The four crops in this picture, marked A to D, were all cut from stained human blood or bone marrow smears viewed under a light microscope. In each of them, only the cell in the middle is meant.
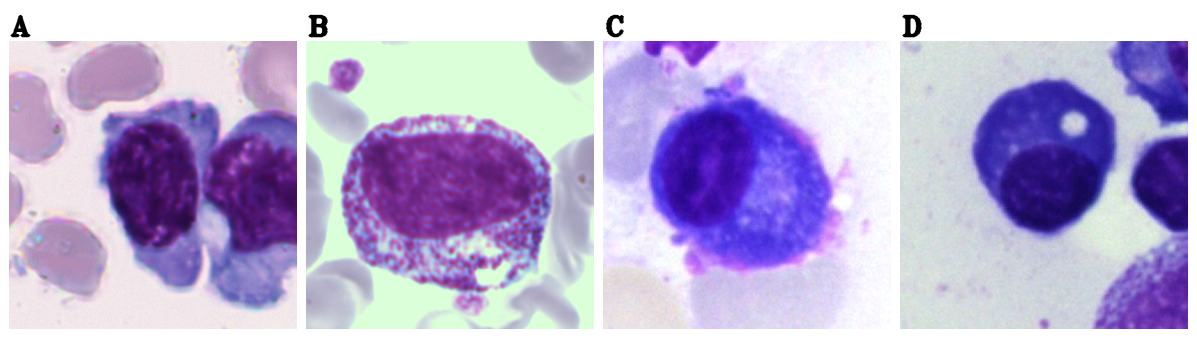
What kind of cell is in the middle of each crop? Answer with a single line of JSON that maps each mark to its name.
{"A": "plasma cell", "B": "promyelocyte", "C": "plasma cell", "D": "plasma cell"}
